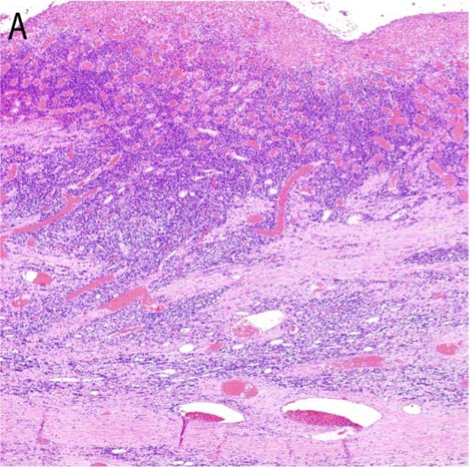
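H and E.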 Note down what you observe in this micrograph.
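This is a section of a wall whose surface lacks any epithelial lining and is capped by a pale pink, fibrin-like layer. Just below it lies a dense purple band of inflammatory cells, crowded with small congested vessels full of red blood cells. Deeper, the inflammation becomes patchier and is set in pale pink connective tissue that runs in streaks. Larger open vessels lie near the bottom of the field. Together these features show an extensive ulcer, with inflamed granulation-like tissue at its base.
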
